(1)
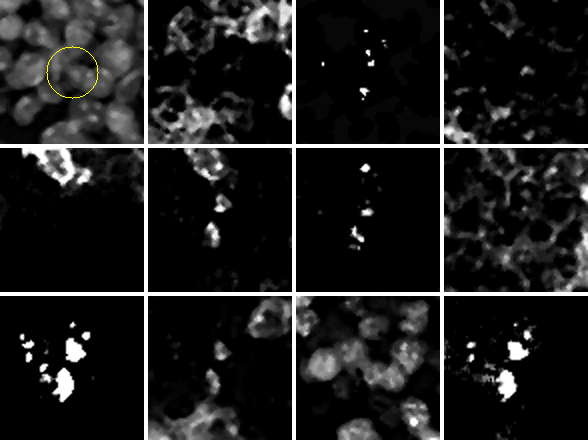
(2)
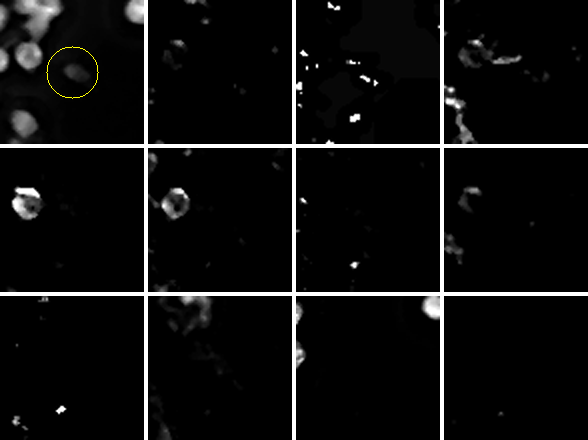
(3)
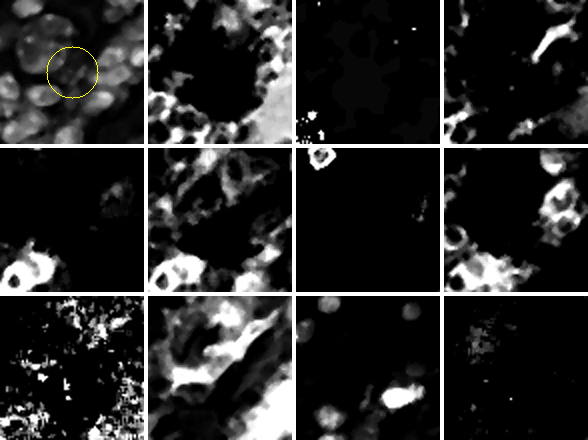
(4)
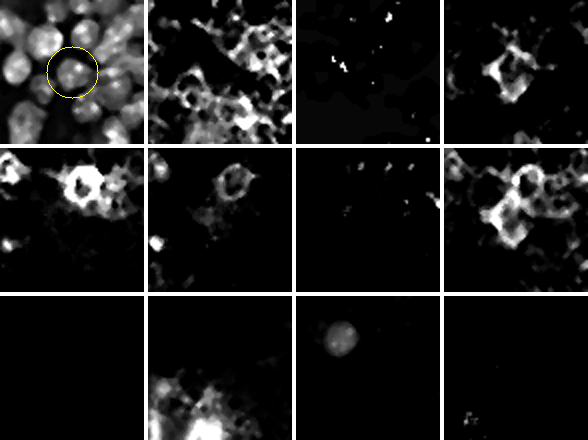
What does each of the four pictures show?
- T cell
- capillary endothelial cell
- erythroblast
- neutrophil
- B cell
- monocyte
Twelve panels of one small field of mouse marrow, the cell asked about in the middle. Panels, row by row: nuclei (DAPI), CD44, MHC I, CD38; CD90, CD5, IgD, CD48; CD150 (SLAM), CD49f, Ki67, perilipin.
1: erythroblast
2: erythroblast
3: capillary endothelial cell
4: monocyte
